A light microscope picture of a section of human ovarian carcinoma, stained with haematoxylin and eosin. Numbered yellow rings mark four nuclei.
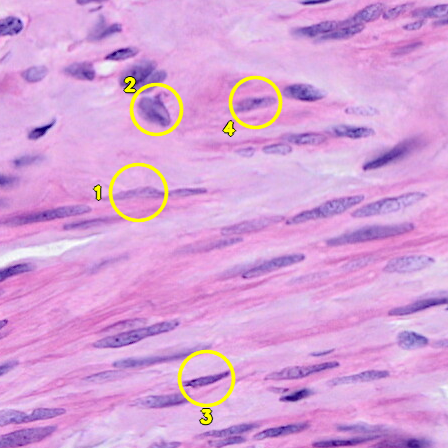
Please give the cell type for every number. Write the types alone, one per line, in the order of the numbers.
smooth muscle cell
fibroblast
smooth muscle cell
smooth muscle cell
